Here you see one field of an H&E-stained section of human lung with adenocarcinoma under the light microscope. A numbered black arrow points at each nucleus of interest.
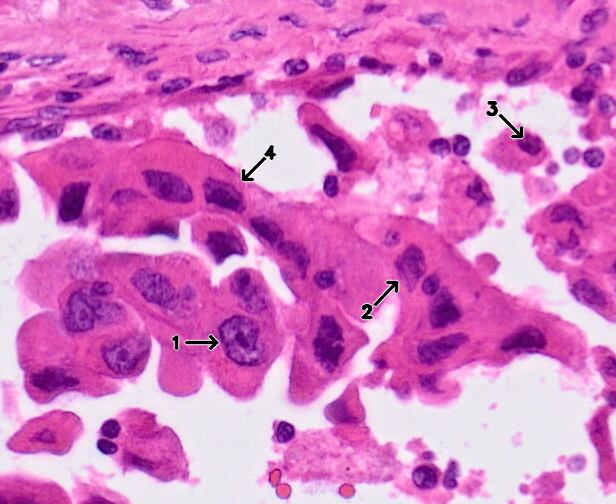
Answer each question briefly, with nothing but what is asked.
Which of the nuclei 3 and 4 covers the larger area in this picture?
4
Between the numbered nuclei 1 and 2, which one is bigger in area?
1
